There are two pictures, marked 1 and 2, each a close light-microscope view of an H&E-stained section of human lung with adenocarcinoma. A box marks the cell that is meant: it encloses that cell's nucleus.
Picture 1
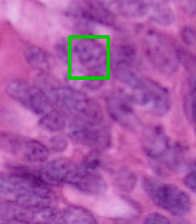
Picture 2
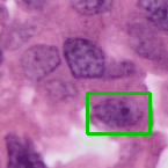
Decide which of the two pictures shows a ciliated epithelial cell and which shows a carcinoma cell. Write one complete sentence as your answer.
The cell in picture 1 is a ciliated epithelial cell, and the one in picture 2 is a carcinoma cell.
